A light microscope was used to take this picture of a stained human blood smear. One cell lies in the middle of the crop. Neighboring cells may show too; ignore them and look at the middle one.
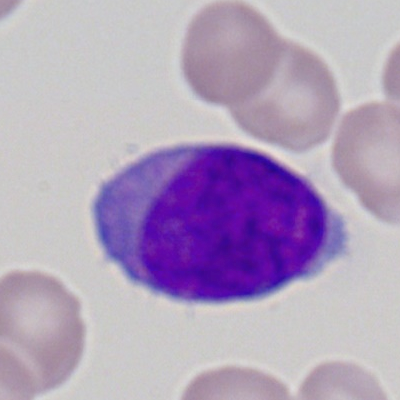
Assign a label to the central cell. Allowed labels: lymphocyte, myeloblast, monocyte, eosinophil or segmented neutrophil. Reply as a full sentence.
Here the cell in the middle is a myeloblast.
